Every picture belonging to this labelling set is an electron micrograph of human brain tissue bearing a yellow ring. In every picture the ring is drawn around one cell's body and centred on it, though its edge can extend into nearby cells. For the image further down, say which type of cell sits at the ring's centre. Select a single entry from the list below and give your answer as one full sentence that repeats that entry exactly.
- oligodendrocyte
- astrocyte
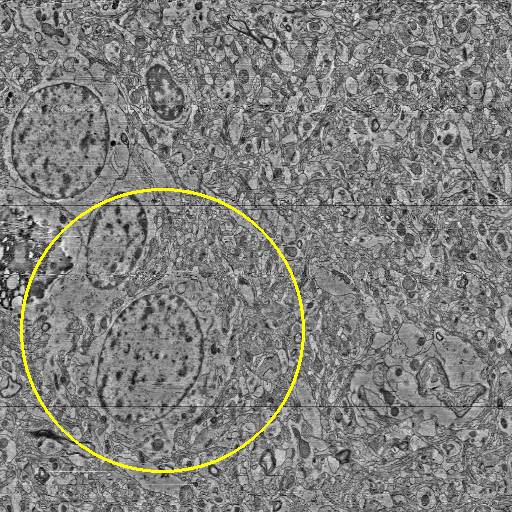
In the picture, an astrocyte is the cell at the centre of the yellow ring.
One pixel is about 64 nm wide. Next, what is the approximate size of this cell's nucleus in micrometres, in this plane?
Roughly 9 micrometres by 7 micrometres, in this plane.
